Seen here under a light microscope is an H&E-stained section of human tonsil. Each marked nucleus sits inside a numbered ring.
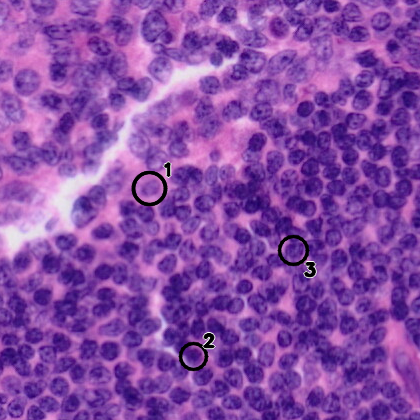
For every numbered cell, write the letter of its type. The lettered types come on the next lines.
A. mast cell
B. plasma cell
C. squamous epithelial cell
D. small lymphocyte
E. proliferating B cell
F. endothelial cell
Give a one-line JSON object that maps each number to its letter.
{"1": "E", "2": "D", "3": "D"}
